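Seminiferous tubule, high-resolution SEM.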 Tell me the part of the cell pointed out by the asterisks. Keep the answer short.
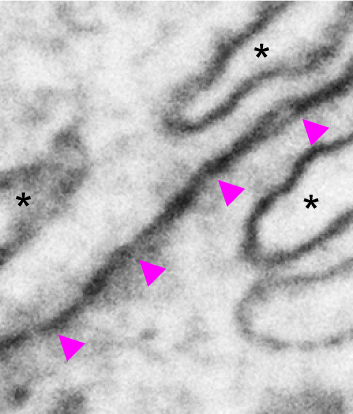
Endoplasmic reticulum.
